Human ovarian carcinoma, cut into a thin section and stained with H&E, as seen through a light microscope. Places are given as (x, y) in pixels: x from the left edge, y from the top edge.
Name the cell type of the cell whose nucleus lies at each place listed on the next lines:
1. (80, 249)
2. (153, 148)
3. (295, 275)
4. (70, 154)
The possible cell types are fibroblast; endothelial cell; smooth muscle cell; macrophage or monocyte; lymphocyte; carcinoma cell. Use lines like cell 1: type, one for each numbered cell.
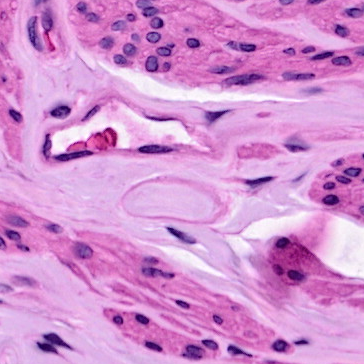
cell 1: smooth muscle cell
cell 2: endothelial cell
cell 3: smooth muscle cell
cell 4: endothelial cell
